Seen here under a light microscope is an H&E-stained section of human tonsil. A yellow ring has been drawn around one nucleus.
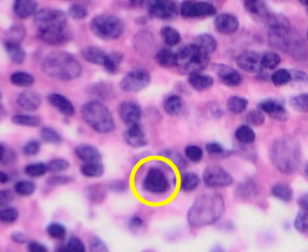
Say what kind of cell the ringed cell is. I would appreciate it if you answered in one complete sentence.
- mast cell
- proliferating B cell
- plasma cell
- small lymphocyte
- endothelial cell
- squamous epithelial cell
Assigned to a cell type, the ringed cell is a proliferating B cell.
